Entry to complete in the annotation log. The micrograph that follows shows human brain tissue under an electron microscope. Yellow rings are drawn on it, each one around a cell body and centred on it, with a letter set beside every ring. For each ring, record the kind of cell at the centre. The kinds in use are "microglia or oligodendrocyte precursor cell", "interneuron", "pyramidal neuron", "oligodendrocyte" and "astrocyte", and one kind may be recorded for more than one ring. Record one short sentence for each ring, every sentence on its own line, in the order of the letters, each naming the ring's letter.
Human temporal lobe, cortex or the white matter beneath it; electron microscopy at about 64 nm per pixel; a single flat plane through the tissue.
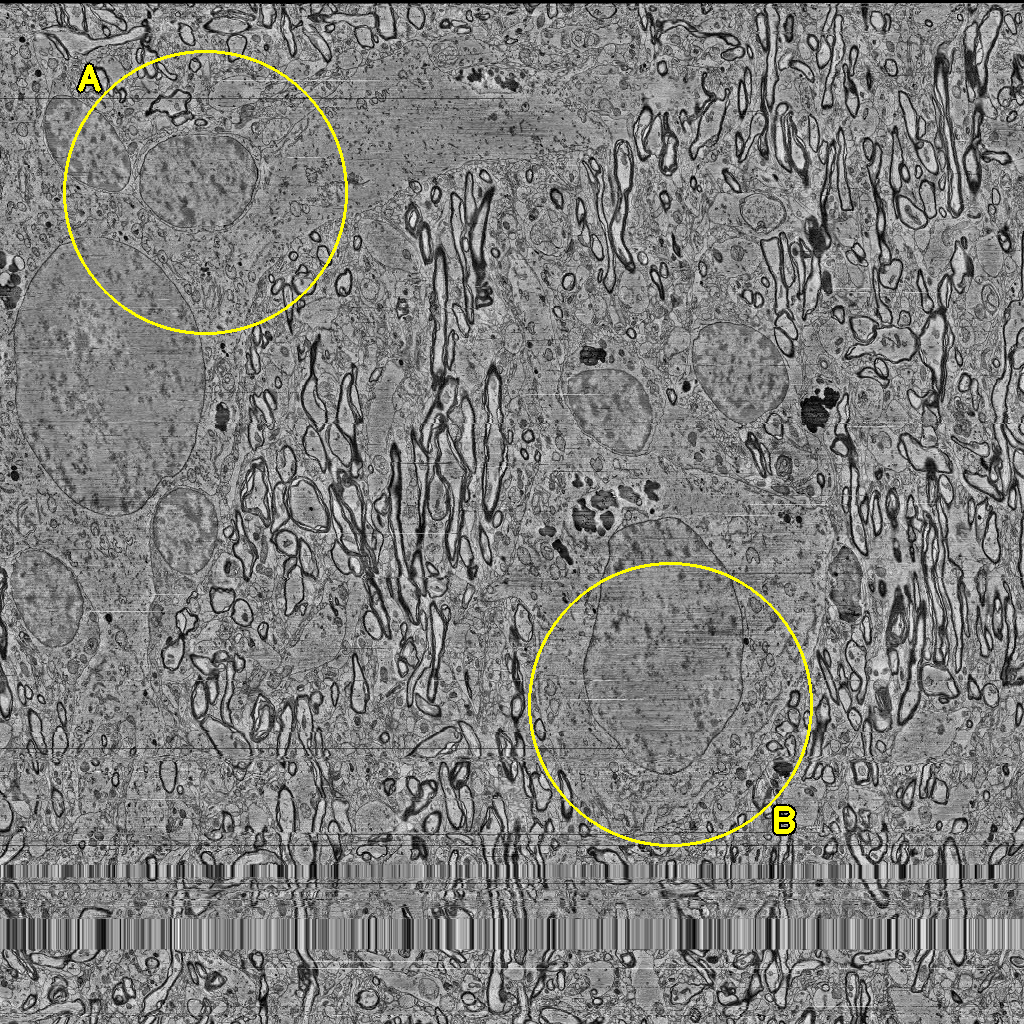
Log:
Ring A is placed around a microglial cell or oligodendrocyte precursor cell.
Ring B is placed around a pyramidal neuron.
